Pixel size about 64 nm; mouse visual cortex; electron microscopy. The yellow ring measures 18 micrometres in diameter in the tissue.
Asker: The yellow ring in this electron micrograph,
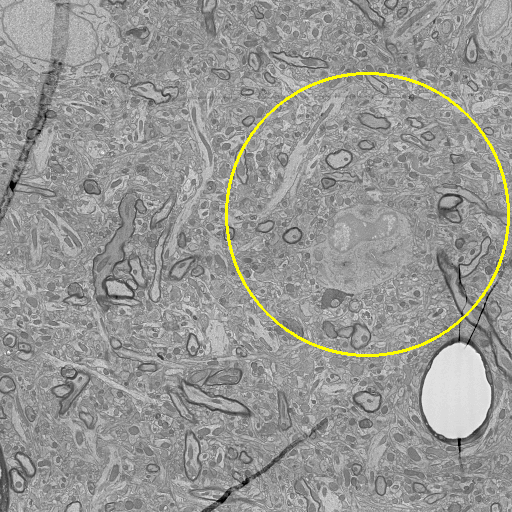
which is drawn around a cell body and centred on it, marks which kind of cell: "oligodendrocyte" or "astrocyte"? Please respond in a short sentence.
The marked cell is an oligodendrocyte.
